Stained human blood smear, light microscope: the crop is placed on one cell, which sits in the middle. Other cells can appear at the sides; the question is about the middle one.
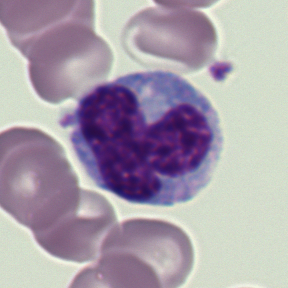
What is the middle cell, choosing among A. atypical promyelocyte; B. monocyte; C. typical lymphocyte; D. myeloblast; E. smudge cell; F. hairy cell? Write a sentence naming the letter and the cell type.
The cell in the middle is a monocyte, so option B is correct.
